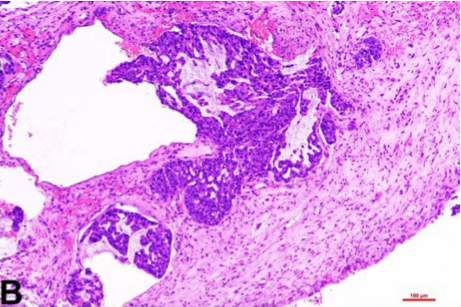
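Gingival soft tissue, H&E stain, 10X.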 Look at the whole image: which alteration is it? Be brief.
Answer: subepithelial infiltration by tumor cells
